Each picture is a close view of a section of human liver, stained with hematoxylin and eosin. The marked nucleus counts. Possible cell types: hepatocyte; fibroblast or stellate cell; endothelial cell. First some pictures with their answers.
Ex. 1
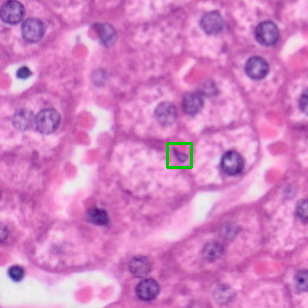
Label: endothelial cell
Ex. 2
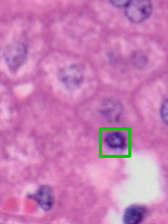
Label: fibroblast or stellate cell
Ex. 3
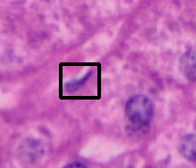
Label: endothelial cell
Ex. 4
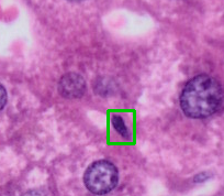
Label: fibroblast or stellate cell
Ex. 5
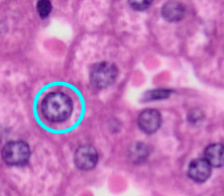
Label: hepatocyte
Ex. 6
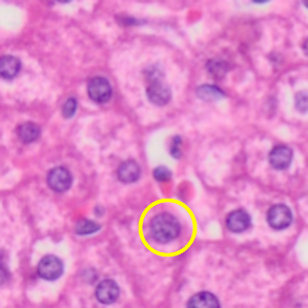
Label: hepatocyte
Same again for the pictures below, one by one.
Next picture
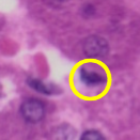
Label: endothelial cell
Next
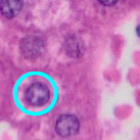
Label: hepatocyte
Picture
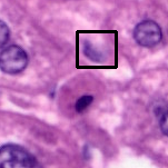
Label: endothelial cell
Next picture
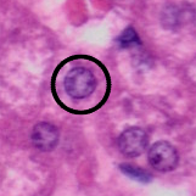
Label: hepatocyte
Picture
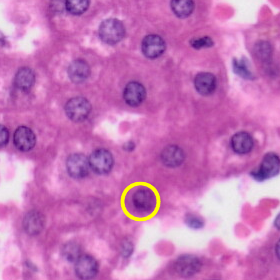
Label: hepatocyte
